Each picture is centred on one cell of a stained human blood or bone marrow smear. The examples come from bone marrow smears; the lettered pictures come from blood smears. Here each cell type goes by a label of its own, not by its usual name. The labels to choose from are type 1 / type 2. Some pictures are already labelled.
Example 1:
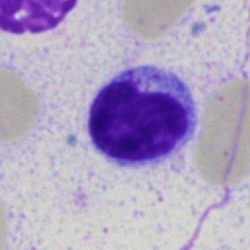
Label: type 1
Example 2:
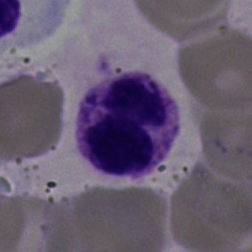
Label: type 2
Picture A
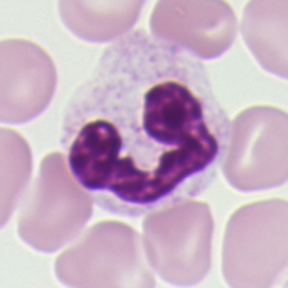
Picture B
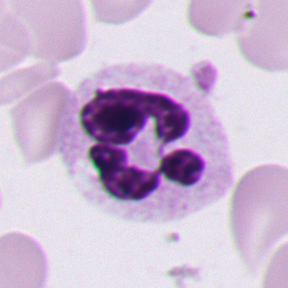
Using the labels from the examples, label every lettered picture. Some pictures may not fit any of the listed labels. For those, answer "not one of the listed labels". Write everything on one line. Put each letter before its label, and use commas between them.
A not one of the listed labels, B not one of the listed labels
